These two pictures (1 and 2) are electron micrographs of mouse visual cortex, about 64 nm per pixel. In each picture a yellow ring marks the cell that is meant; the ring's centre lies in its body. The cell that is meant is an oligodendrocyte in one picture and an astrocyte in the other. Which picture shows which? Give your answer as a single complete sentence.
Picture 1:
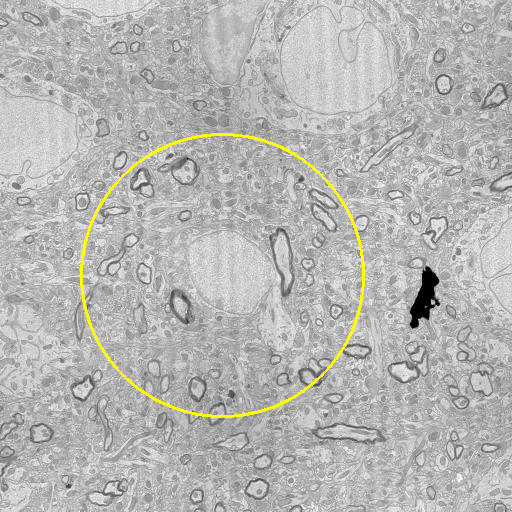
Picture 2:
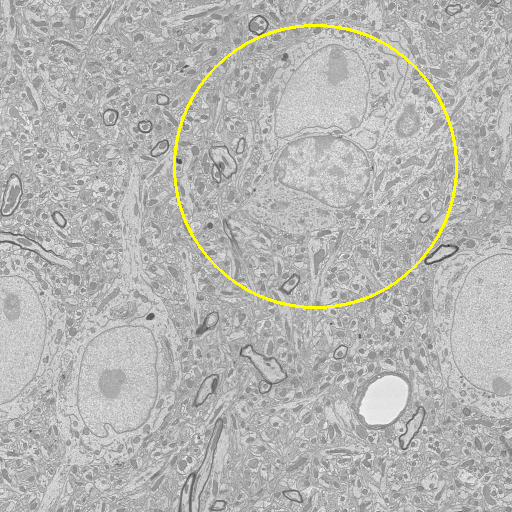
Picture 1 shows an astrocyte and picture 2 shows an oligodendrocyte.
